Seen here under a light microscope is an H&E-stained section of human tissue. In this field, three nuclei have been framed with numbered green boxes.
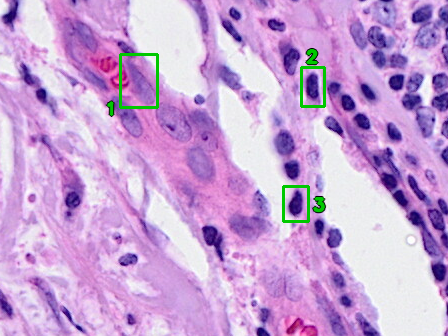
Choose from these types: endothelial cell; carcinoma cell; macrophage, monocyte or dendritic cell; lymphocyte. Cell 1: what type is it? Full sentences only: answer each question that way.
The nucleus labeled 1 belongs to an endothelial cell.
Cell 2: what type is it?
The cell indicated with the number 2 is classed as a lymphocyte.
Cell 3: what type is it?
The correct answer for cell 3 is a lymphocyte.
